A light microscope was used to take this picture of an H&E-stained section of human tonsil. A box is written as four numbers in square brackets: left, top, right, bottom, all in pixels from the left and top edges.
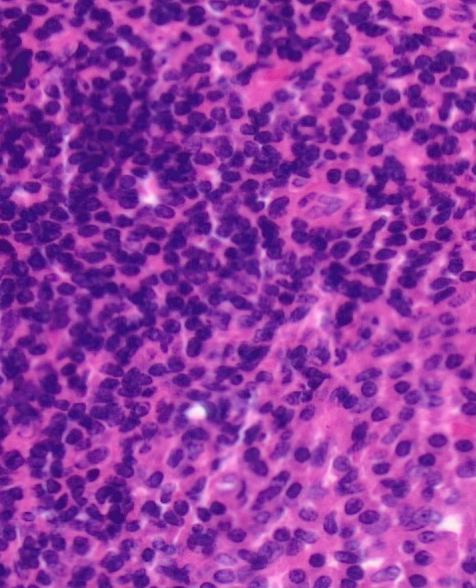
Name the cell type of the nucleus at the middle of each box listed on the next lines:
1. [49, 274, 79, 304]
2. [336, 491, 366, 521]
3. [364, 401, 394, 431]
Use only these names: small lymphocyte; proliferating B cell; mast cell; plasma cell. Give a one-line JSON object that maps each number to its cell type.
{"1": "small lymphocyte", "2": "plasma cell", "3": "plasma cell"}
